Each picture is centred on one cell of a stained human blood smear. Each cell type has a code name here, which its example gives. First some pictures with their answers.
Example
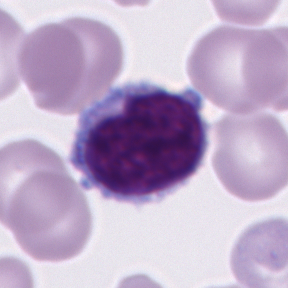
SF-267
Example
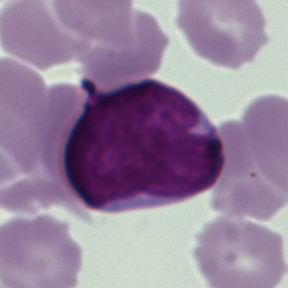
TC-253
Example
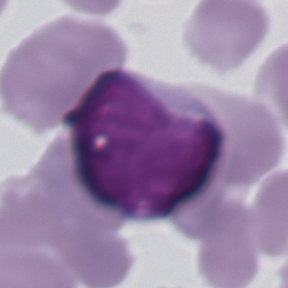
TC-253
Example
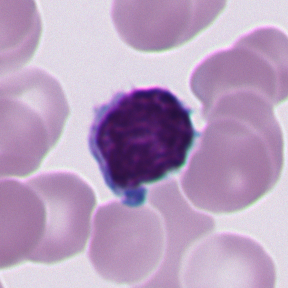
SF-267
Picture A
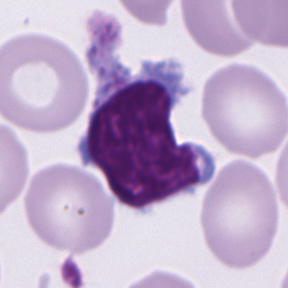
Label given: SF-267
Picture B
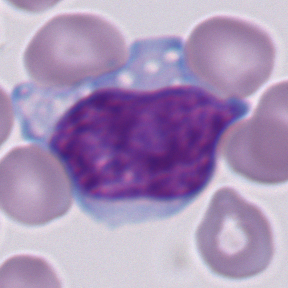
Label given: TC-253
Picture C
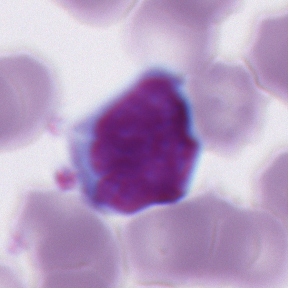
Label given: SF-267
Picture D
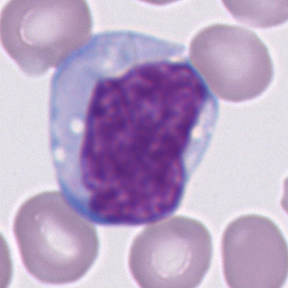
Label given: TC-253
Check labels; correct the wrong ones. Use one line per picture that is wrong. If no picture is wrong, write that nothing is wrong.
None of the labels needs changing.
